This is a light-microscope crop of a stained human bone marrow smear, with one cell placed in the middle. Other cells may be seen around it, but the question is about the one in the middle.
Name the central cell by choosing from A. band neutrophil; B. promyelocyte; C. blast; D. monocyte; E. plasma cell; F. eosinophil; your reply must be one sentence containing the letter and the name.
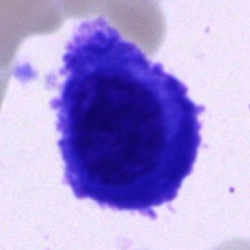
The correct identification, given in option E, is that the central cell is a plasma cell.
